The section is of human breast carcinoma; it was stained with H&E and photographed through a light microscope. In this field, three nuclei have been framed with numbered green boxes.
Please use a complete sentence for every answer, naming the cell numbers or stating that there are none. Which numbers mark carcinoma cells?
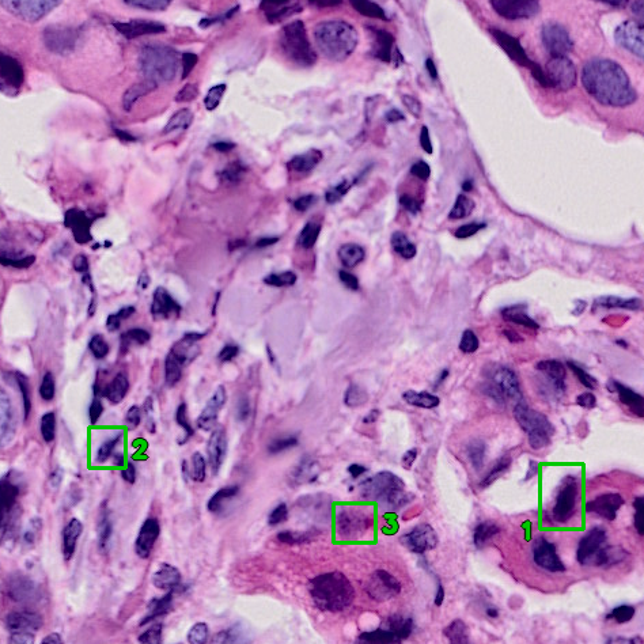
The only cell among those numbered to be a carcinoma cell is number 1.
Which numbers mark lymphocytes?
Of the numbered nuclei, only the one labelled 2 belongs to a lymphocyte.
